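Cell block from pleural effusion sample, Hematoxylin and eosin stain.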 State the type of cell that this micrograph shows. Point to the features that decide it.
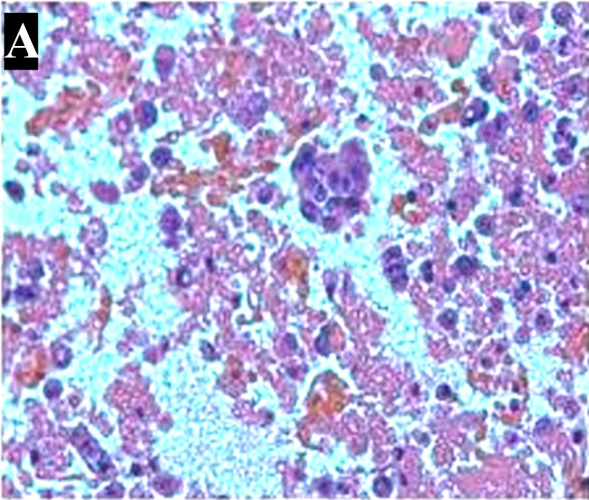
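Cancer cells. A tight cluster of large cells with dark purple nuclei lies near the centre. Many red blood cells fill the background. Scattered single cells with dark round nuclei lie among the blood.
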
